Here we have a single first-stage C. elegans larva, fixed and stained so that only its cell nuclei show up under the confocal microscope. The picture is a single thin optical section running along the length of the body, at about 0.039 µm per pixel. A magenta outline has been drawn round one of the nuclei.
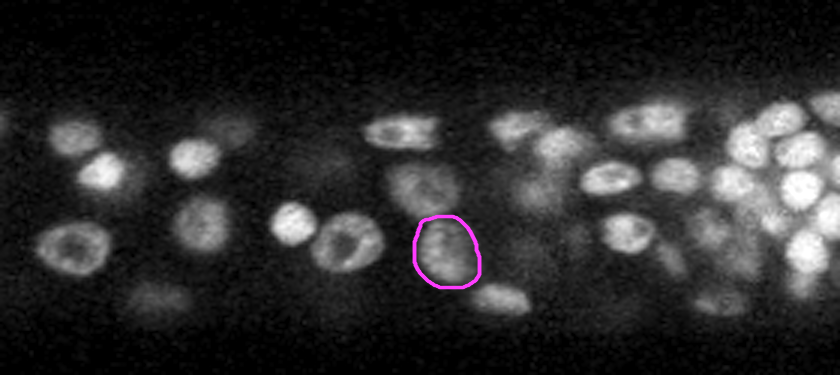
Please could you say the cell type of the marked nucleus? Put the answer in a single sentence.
It is the nucleus of a hypodermal cell (hyp).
